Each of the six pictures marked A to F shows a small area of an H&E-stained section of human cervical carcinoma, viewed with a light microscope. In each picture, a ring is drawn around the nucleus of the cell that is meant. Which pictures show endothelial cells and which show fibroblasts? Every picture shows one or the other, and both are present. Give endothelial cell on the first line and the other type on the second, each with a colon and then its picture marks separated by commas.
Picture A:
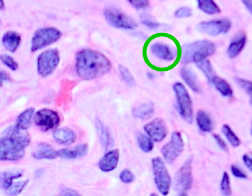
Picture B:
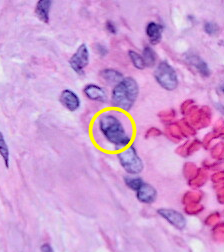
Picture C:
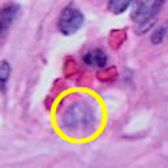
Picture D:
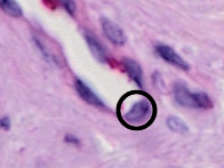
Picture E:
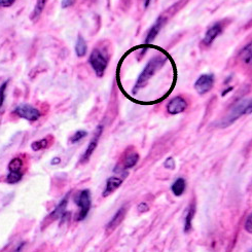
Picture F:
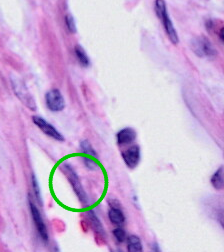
endothelial cell: B, C, D, F
fibroblast: A, E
